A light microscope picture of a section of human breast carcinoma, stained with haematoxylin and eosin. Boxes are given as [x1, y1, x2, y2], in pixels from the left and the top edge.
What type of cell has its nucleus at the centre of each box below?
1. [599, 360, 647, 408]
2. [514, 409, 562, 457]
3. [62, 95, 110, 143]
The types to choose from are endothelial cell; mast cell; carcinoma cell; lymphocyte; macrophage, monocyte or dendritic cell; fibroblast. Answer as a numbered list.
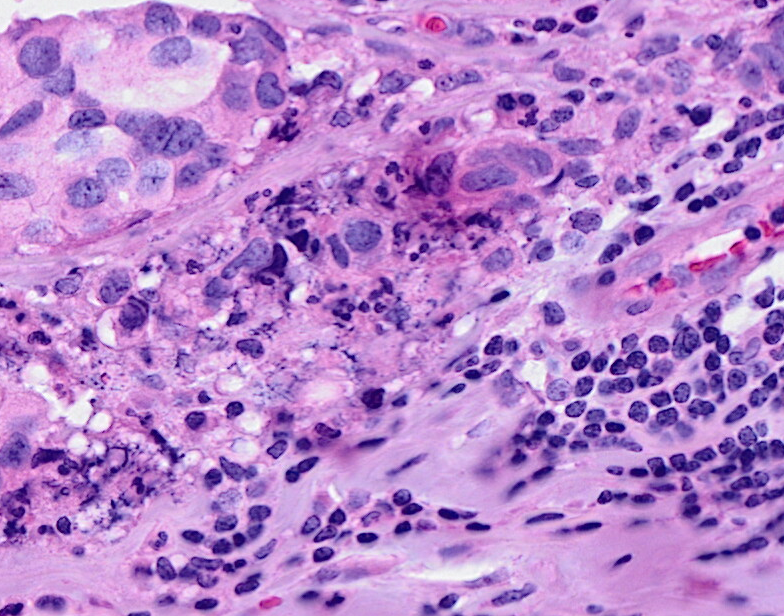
1. lymphocyte
2. lymphocyte
3. carcinoma cell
